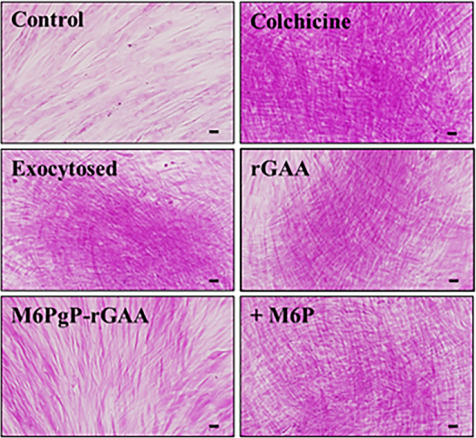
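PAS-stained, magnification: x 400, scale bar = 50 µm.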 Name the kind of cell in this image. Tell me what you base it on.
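The cells are long and spindle-shaped. The cells lie side by side in parallel, streaming arrays. The cells grow as a flat cultured layer, not as a tissue.
Conclusion: fibroblasts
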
